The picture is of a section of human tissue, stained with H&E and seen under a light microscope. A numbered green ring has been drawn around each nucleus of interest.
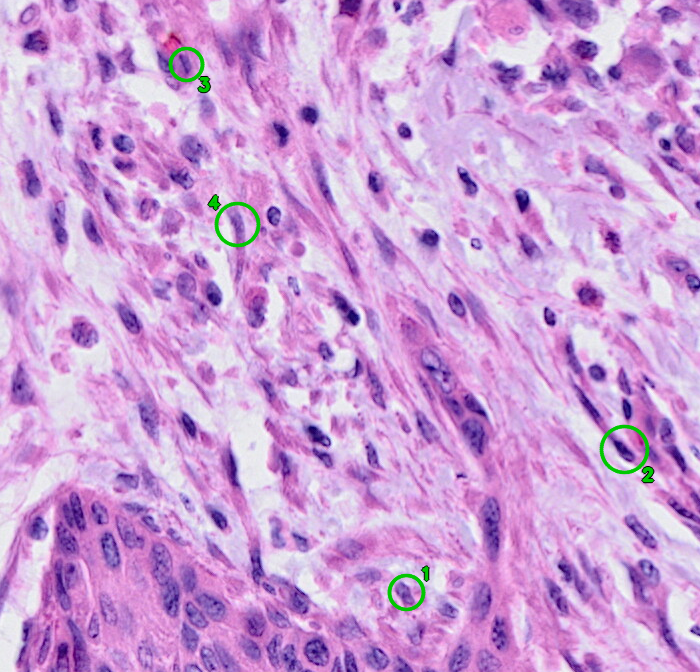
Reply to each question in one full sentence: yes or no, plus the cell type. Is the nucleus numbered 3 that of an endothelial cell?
Yes, what number 3 marks is an endothelial cell.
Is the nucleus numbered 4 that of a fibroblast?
Yes, it checks out; the cell labelled 4 is a fibroblast.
